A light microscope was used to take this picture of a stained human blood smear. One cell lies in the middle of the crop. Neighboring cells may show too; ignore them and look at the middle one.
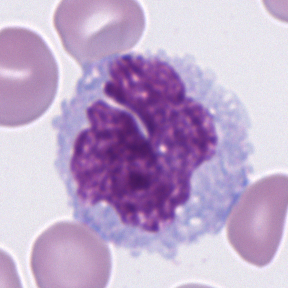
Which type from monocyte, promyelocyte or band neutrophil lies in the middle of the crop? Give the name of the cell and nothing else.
monocyte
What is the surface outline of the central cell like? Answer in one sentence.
The cell is bounded by a ragged or projection-bearing margin rather than a smooth one.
